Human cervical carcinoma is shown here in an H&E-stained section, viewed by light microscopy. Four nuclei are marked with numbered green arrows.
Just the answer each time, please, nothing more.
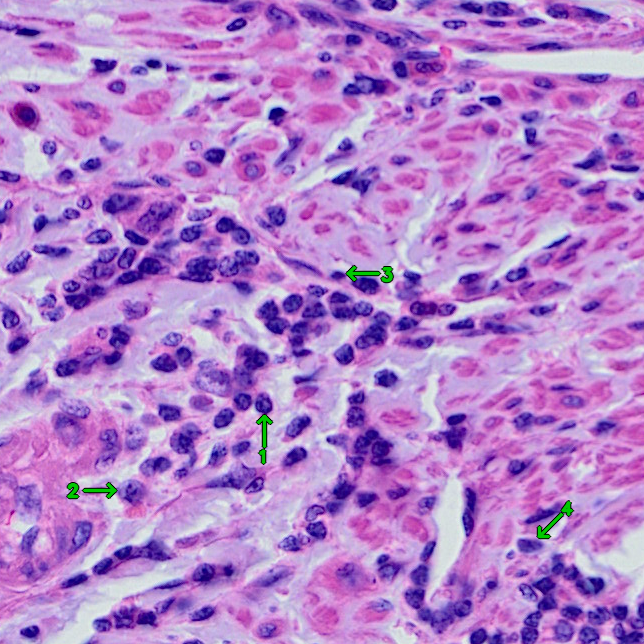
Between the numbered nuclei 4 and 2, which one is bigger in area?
2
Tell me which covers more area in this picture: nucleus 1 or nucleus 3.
1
